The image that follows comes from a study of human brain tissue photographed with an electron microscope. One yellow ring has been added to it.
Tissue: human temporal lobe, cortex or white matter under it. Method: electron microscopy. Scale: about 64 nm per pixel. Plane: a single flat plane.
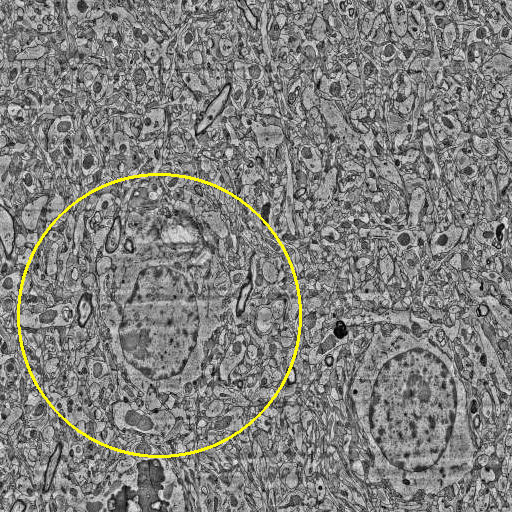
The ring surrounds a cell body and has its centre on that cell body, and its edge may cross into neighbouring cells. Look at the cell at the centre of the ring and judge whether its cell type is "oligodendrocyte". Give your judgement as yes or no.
no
